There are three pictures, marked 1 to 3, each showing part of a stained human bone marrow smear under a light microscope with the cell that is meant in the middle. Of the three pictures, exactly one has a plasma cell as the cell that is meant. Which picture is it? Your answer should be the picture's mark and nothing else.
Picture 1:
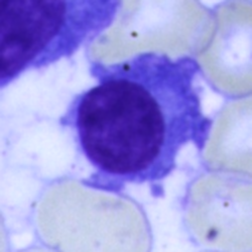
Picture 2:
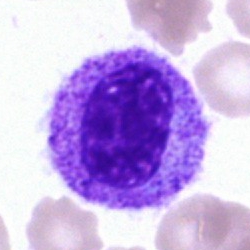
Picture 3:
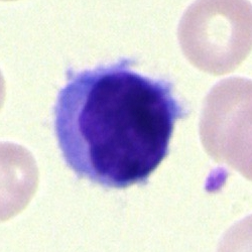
1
